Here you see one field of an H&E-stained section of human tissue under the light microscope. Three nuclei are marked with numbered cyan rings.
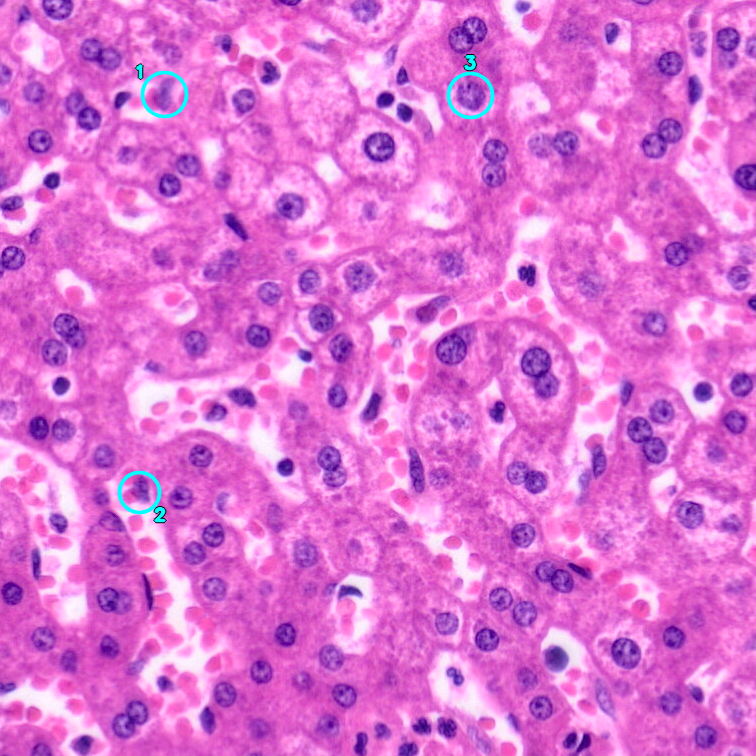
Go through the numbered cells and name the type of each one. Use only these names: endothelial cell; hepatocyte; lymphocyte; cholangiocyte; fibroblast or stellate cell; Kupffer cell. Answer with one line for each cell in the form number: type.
1: Kupffer cell
2: endothelial cell
3: hepatocyte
